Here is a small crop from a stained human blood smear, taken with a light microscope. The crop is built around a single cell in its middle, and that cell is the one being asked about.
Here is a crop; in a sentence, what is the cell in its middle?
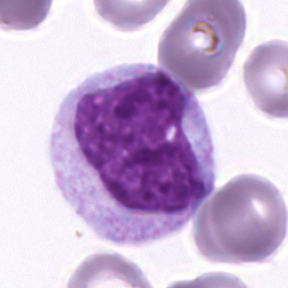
The cell in the middle of this crop is a myelocyte.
